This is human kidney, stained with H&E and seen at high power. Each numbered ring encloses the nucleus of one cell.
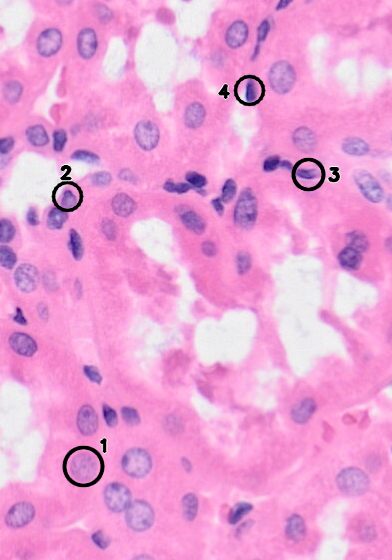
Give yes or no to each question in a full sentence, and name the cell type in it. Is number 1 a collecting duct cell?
No, the correct answer for cell 1 is a proximal tubule cell, not a collecting duct cell.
